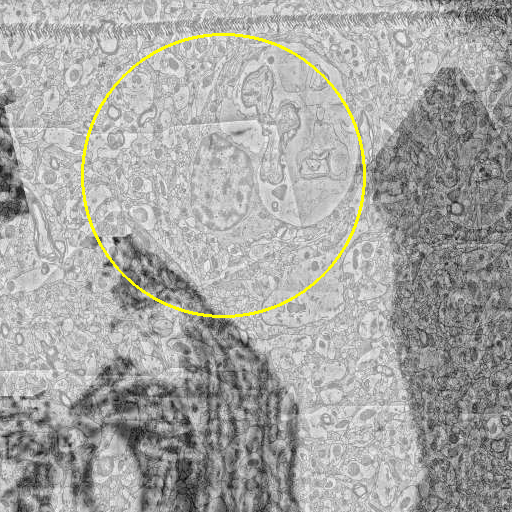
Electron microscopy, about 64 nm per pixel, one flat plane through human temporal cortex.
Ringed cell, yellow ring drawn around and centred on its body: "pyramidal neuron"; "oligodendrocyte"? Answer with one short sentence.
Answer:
This ringed cell is an oligodendrocyte.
